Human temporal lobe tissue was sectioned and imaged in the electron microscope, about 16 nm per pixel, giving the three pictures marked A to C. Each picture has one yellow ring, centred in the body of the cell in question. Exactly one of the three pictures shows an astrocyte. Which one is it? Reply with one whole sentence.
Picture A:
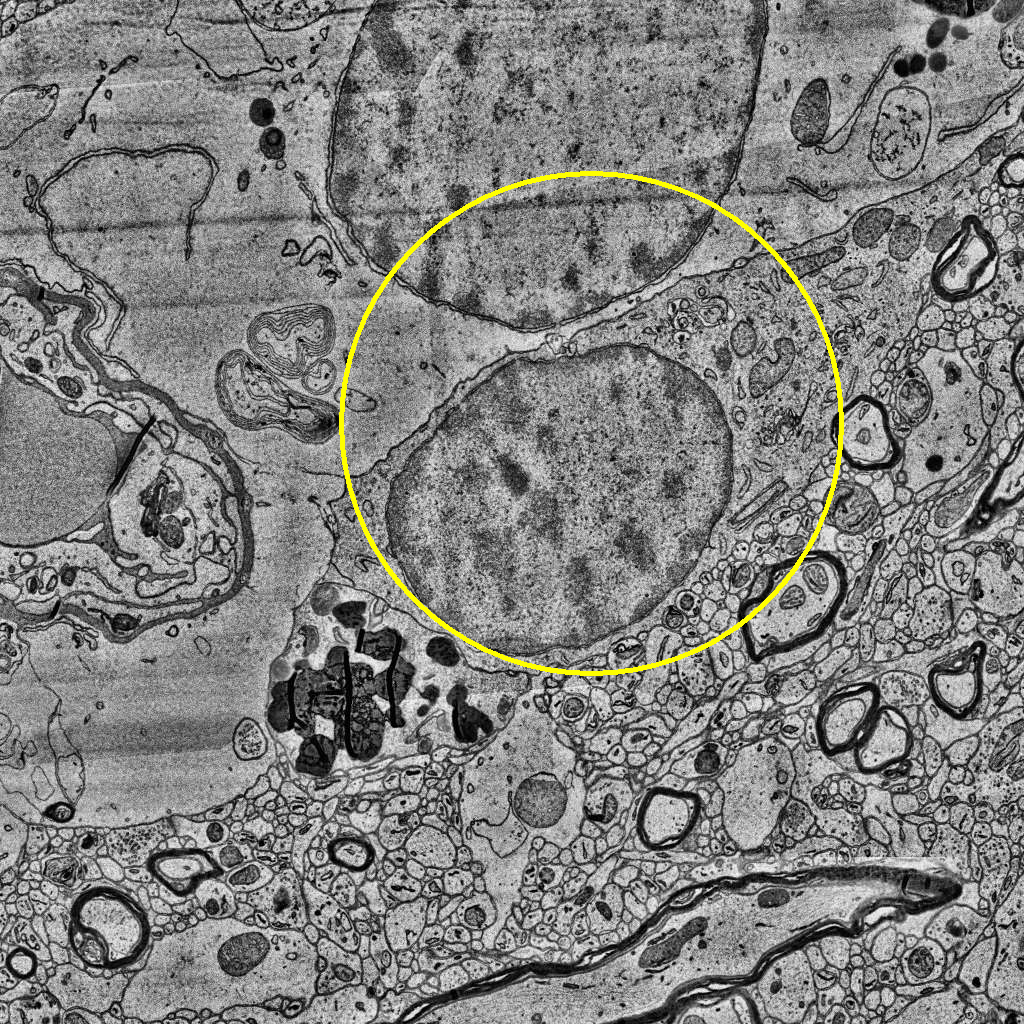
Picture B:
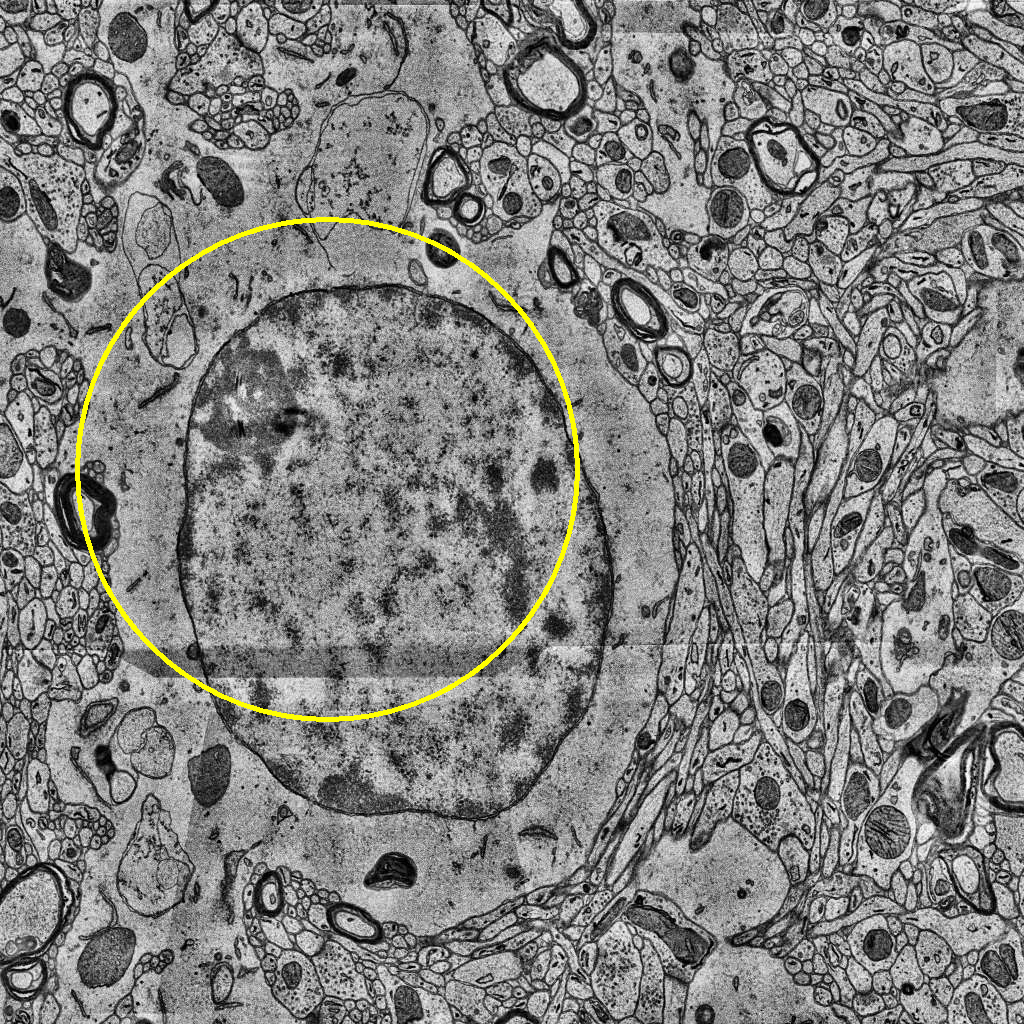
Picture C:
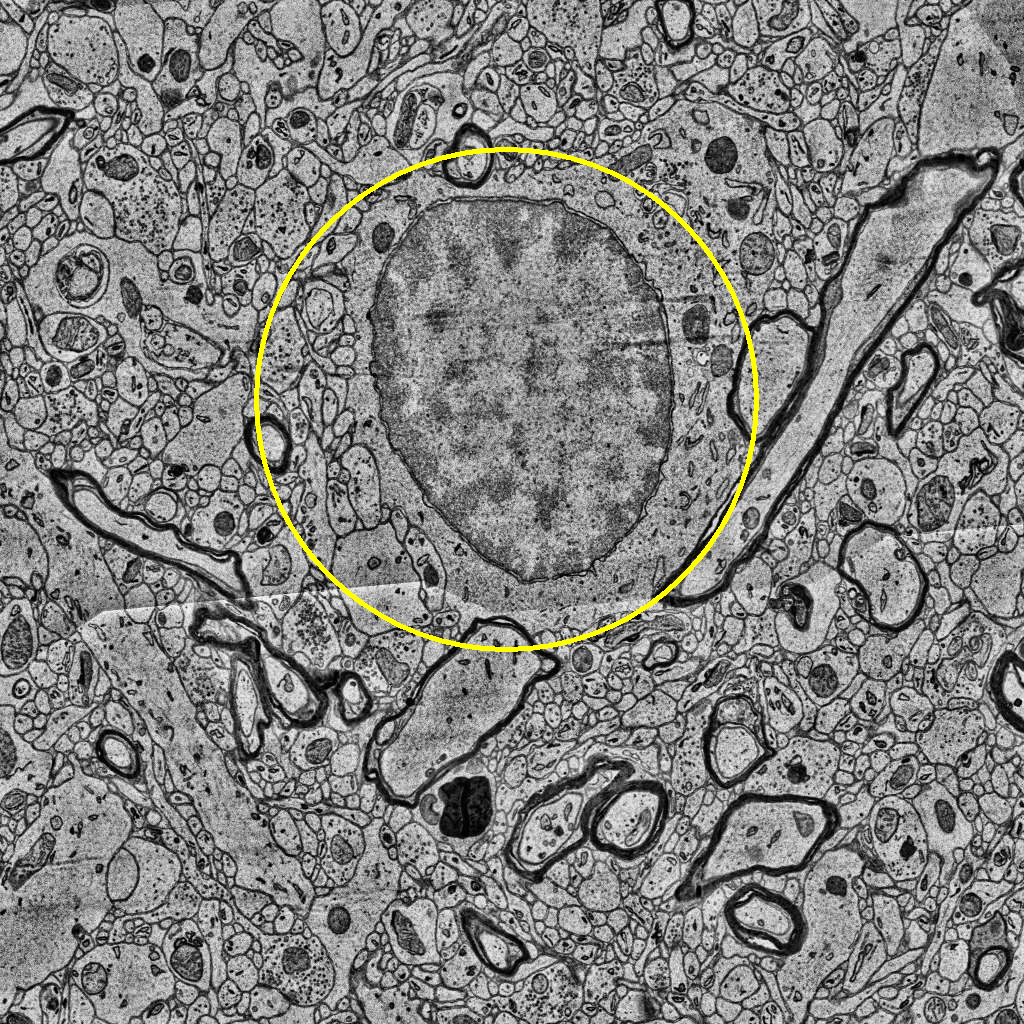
The cell in picture B is the astrocyte.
